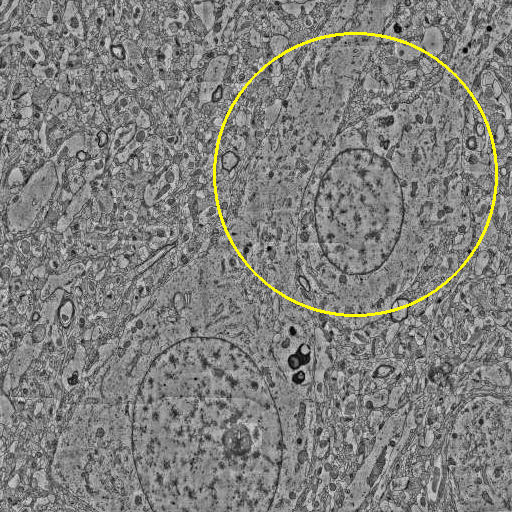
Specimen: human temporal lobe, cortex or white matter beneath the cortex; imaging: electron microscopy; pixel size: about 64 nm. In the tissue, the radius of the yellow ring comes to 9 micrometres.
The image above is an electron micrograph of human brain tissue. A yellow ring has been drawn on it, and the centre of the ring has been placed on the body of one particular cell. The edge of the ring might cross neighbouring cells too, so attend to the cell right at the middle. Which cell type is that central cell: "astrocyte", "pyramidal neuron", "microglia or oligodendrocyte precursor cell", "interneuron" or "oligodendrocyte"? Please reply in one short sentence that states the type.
The central cell in the ring is a pyramidal neuron.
